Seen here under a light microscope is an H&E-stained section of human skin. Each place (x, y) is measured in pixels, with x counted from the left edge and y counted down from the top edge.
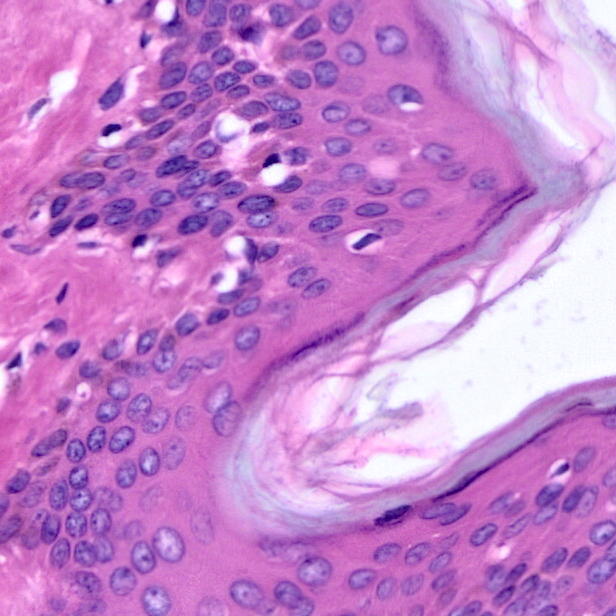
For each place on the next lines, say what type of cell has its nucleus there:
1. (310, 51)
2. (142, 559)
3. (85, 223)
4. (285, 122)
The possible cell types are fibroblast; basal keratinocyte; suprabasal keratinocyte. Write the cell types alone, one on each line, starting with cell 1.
basal keratinocyte
suprabasal keratinocyte
basal keratinocyte
basal keratinocyte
